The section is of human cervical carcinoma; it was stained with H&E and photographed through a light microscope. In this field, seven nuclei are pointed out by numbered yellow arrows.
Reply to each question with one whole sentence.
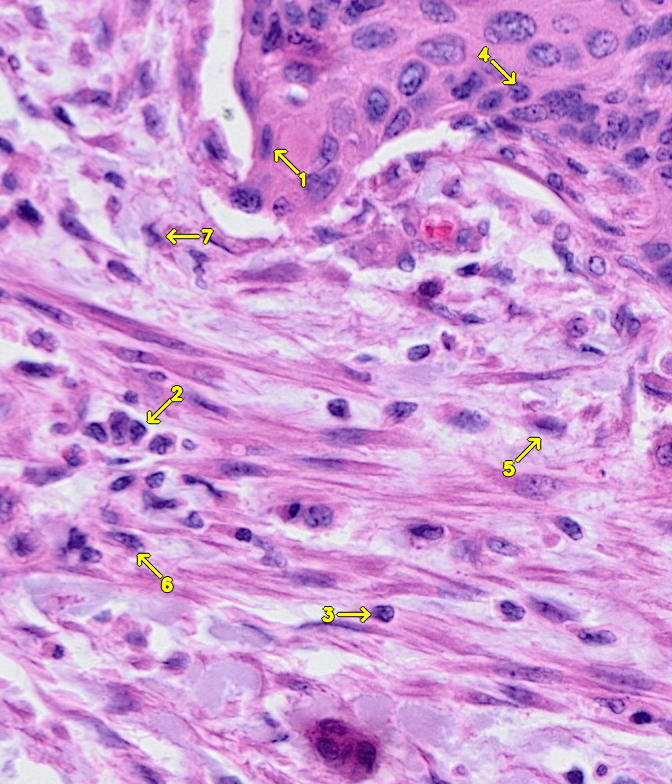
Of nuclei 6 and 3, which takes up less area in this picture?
It is nucleus 3; nucleus 6 has about 1.5 times its area.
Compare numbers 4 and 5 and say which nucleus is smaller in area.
Number 4 is smaller, since number 5 takes up about 1.5 times as much area.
